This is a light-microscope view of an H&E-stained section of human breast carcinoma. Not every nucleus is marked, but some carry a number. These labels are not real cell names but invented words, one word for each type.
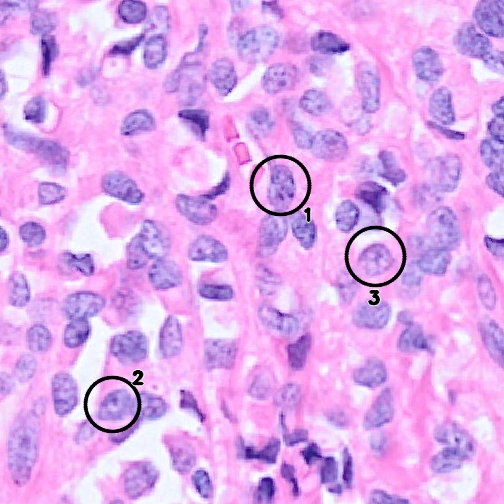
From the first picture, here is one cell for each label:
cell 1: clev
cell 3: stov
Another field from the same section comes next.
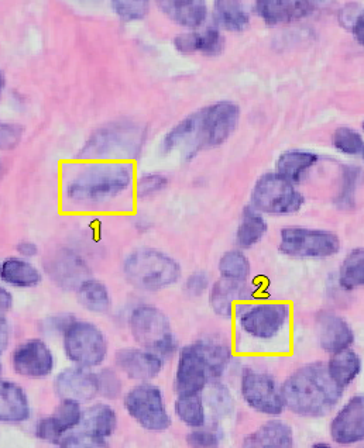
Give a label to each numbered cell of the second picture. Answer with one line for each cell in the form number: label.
1: clev
2: stov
